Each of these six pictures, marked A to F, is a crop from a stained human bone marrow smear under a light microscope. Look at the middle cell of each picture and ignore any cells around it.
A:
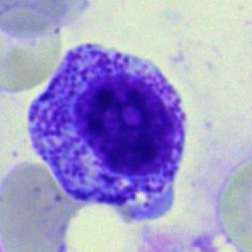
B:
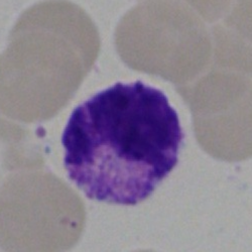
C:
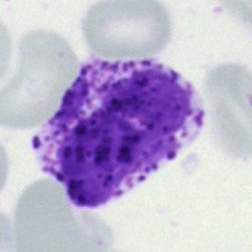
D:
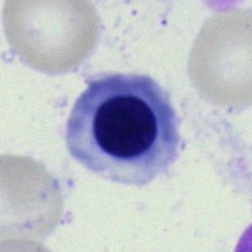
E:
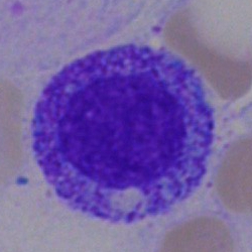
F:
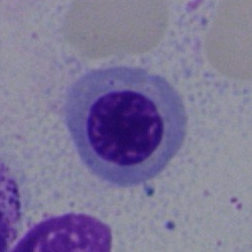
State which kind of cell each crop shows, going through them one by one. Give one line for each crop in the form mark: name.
A: myelocyte
B: basophil
C: basophil
D: erythroblast
E: myelocyte
F: erythroblast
